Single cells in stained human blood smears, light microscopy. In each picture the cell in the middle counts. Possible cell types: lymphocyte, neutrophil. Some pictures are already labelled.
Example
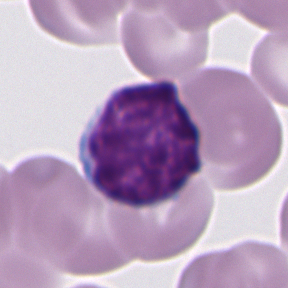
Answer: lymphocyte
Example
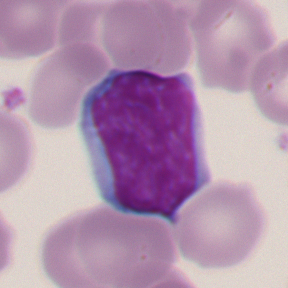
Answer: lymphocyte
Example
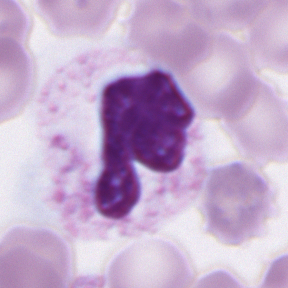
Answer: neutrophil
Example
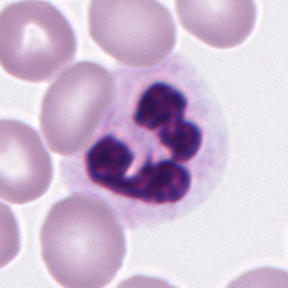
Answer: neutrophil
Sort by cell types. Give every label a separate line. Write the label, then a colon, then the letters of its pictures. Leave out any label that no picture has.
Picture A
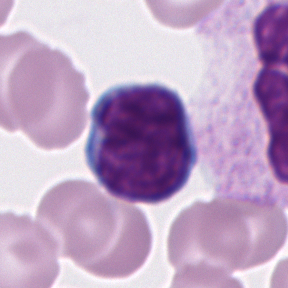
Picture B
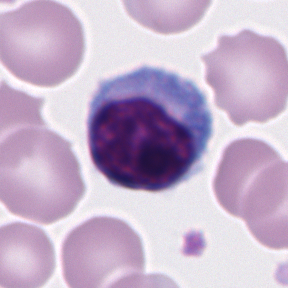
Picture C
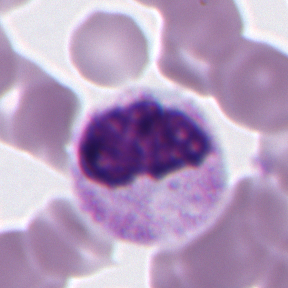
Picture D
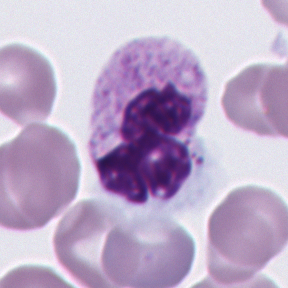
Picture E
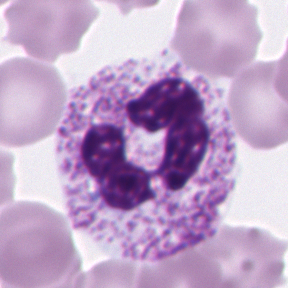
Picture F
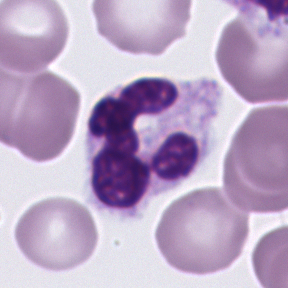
lymphocyte: A, B
neutrophil: C, D, E, F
